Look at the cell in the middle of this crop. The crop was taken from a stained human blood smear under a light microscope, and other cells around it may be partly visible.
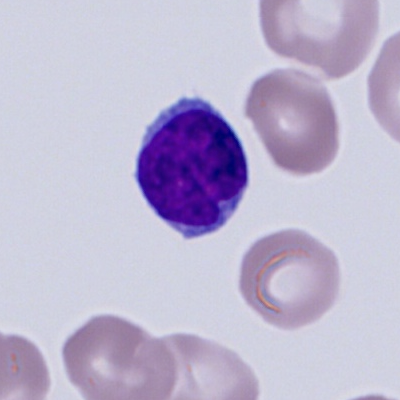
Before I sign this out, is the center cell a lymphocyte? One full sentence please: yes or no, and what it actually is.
Yes, the cell that is in the middle is a lymphocyte.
